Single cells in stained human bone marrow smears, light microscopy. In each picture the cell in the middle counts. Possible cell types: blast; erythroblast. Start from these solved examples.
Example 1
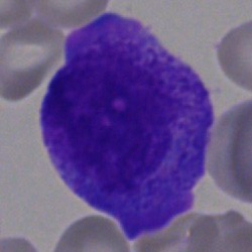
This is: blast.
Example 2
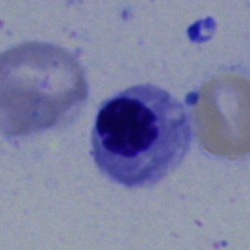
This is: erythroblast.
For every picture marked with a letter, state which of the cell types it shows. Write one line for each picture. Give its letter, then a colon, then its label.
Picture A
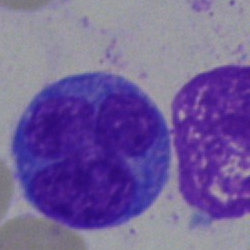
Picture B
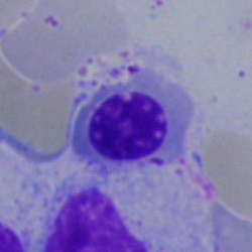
A: blast.
B: erythroblast.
